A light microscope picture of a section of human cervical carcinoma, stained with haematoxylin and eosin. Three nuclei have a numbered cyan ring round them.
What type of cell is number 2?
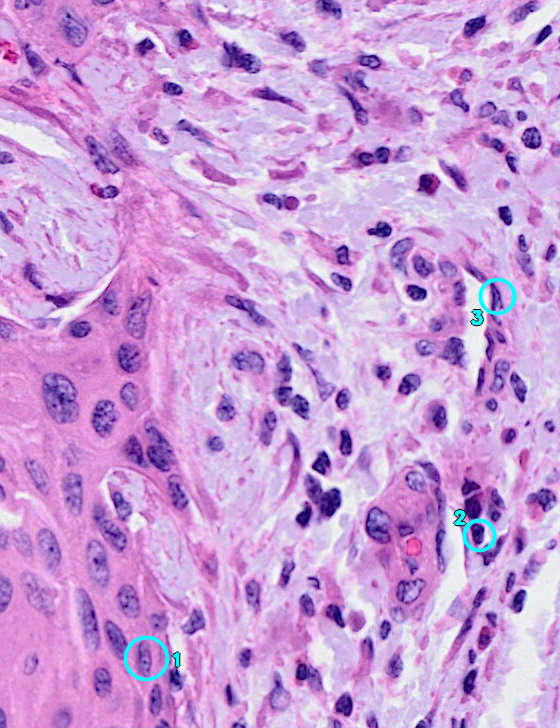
lymphocyte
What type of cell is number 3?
endothelial cell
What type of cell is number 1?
squamous carcinoma cell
